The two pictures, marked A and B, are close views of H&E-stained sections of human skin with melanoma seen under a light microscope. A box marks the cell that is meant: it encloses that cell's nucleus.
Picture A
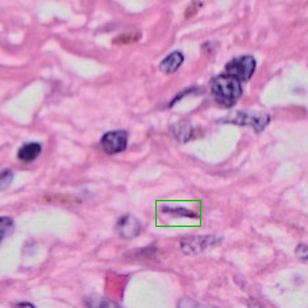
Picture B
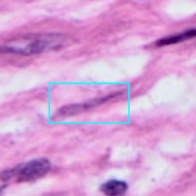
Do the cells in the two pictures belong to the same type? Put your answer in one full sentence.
Yes, both cells are “fibroblasts or myofibroblasts”.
